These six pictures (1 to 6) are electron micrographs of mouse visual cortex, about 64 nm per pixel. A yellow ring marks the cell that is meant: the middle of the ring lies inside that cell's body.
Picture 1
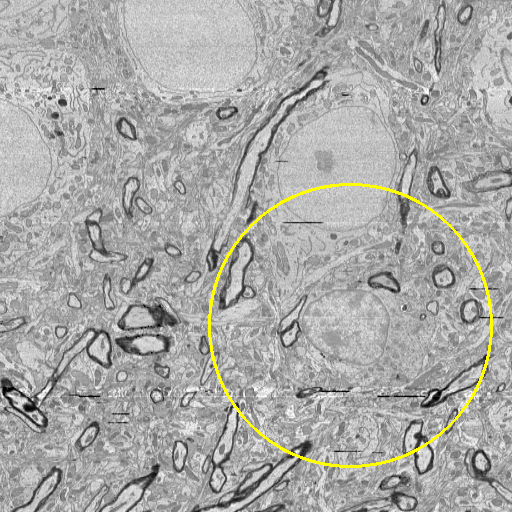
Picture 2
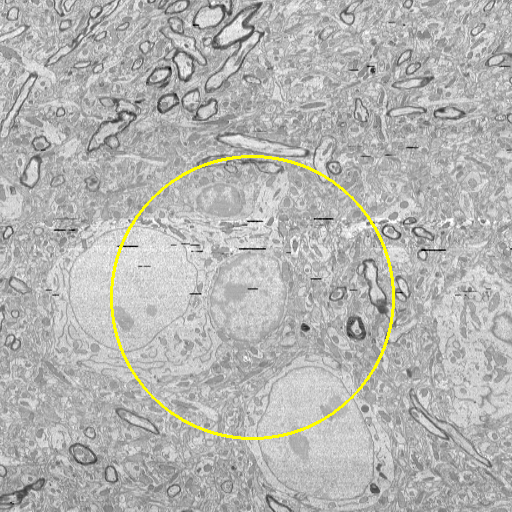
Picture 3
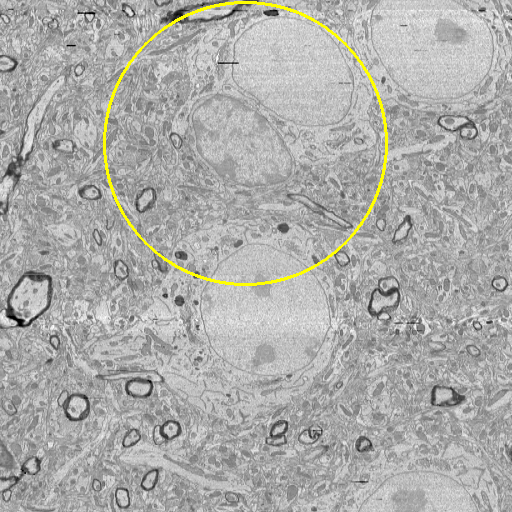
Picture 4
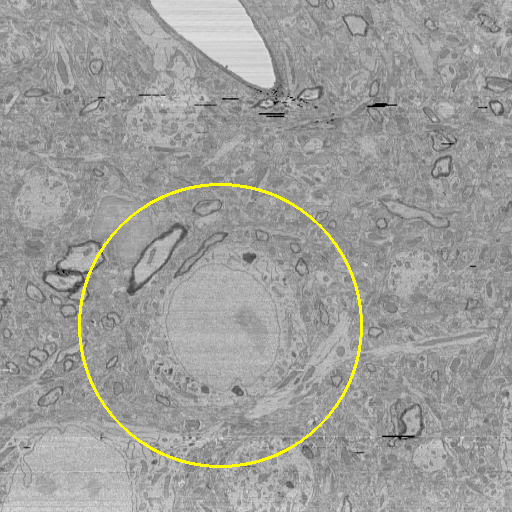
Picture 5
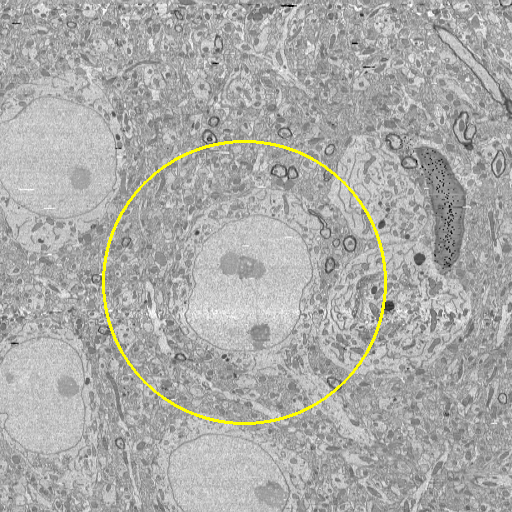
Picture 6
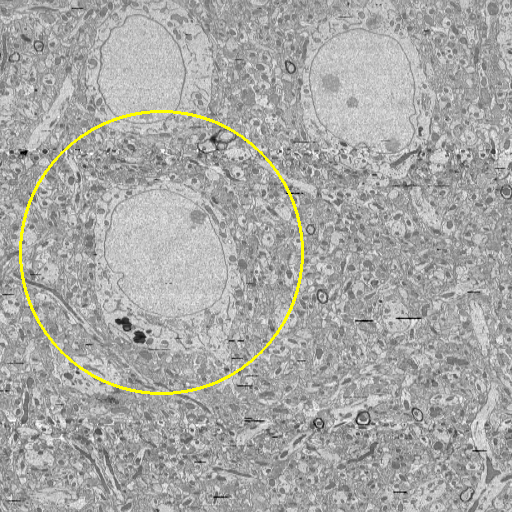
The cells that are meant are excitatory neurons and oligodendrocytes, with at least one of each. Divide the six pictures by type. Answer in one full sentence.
Pictures 4, 5 and 6 show excitatory neurons, while pictures 1, 2 and 3 show oligodendrocytes.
